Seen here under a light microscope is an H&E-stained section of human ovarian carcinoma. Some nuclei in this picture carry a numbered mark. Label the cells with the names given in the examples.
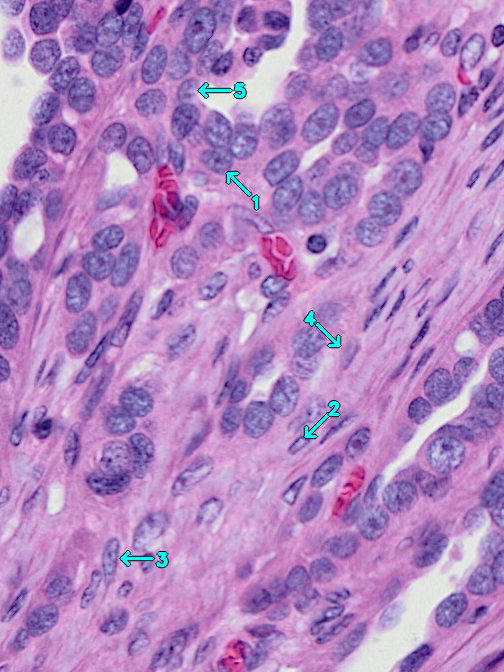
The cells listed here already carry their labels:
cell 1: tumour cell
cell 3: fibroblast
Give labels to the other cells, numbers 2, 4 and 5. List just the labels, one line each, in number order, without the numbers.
fibroblast
fibroblast
tumour cell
